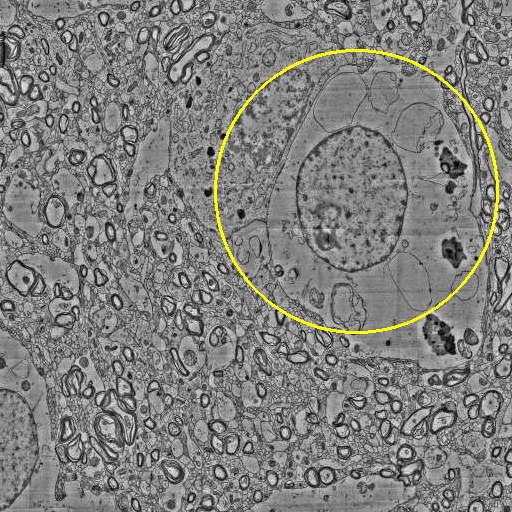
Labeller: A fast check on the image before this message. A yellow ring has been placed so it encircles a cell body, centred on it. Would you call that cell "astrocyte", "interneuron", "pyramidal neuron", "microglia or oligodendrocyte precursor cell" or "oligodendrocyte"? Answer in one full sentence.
In this image, an astrocyte is the cell on which the yellow ring is centred.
